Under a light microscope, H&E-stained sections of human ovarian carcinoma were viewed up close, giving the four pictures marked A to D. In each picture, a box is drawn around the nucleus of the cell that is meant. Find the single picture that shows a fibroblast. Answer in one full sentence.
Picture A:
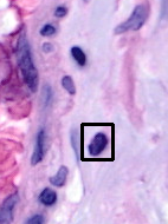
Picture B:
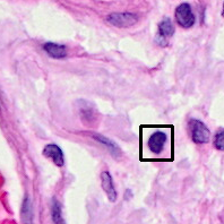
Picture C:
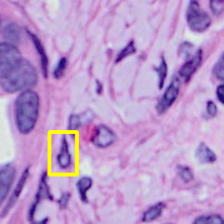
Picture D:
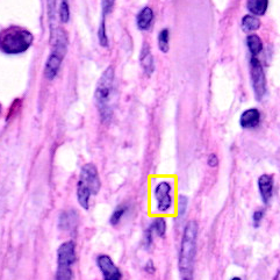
It is picture C that shows the fibroblast.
